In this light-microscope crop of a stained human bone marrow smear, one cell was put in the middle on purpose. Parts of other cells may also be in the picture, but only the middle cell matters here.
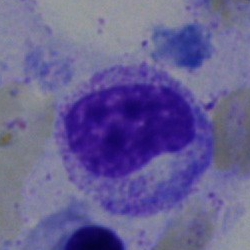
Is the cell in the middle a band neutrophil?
no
